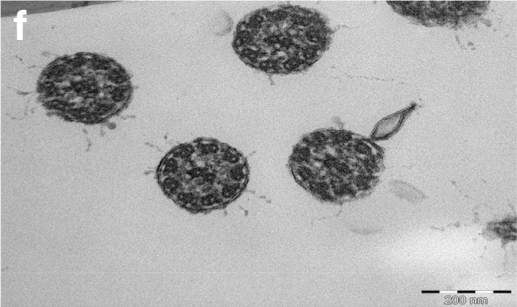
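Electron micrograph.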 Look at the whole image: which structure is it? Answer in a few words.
cilia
